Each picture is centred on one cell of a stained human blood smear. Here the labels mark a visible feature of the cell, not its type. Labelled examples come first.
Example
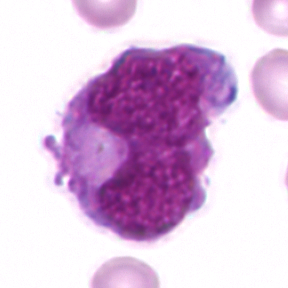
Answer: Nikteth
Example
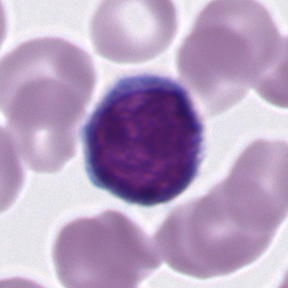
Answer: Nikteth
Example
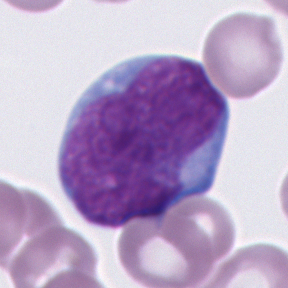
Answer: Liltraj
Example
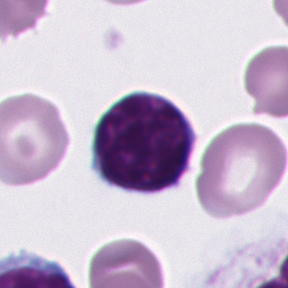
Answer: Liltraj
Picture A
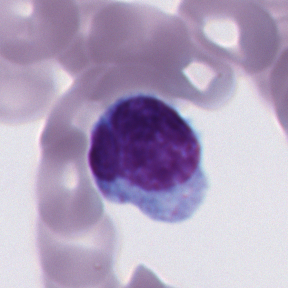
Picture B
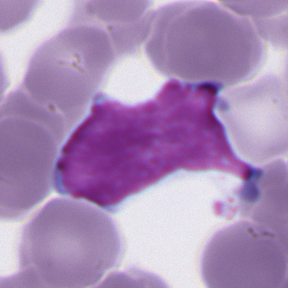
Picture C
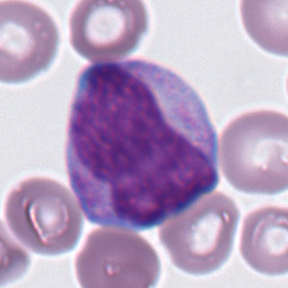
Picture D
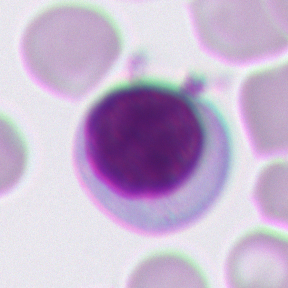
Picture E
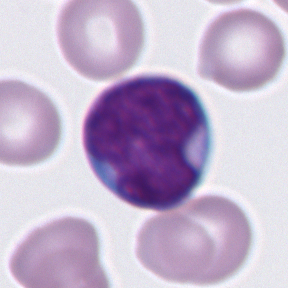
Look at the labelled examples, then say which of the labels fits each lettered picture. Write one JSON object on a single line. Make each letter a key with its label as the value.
{"A": "Liltraj", "B": "Nikteth", "C": "Liltraj", "D": "Liltraj", "E": "Liltraj"}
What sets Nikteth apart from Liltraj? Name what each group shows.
In Nikteth: ragged outline or projections. In Liltraj: smooth outline.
